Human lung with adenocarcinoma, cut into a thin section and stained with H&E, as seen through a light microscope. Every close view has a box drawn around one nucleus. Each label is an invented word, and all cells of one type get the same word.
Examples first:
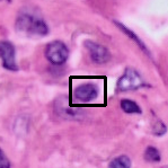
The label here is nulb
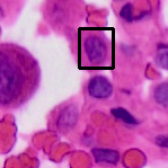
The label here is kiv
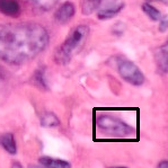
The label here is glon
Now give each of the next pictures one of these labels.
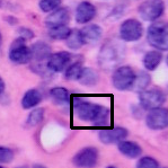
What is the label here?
nulb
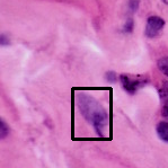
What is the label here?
glon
